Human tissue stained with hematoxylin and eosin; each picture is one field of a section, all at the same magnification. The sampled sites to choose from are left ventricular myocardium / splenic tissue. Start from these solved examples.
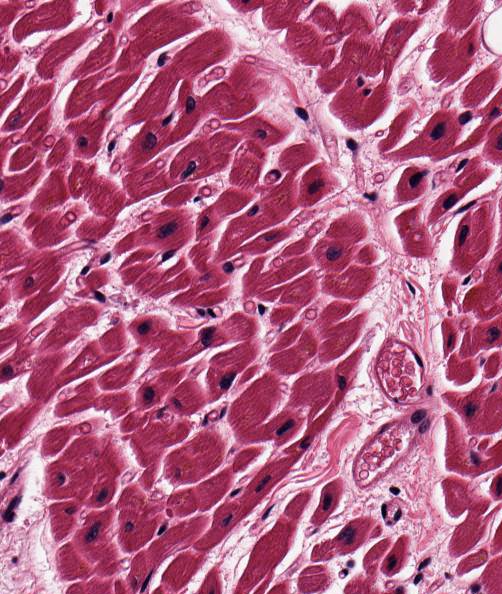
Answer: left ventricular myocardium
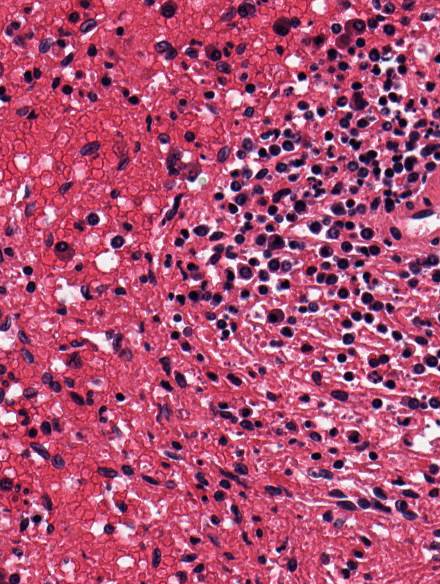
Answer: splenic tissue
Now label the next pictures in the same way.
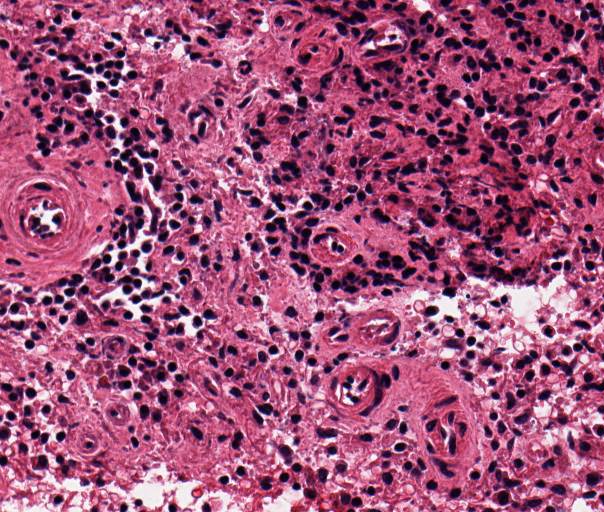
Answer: splenic tissue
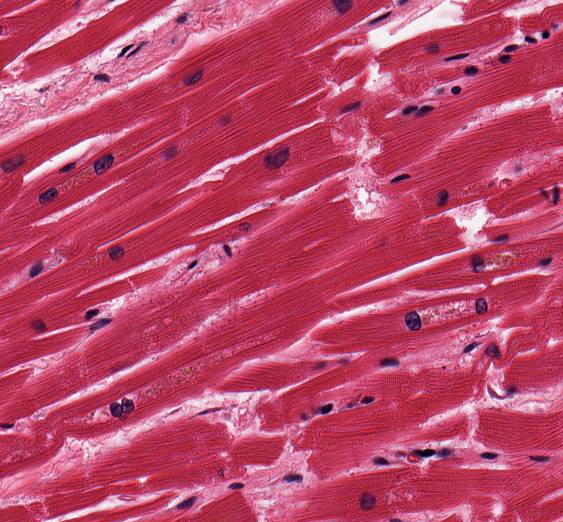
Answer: left ventricular myocardium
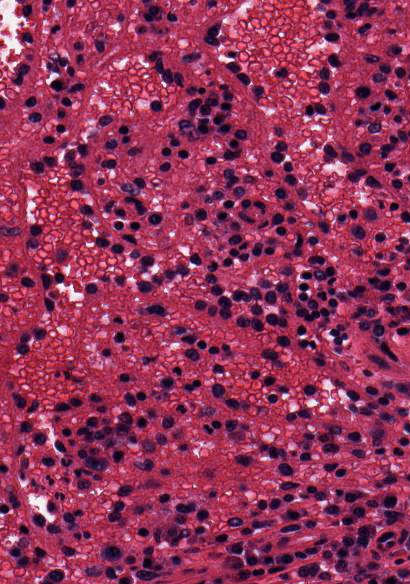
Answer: splenic tissue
